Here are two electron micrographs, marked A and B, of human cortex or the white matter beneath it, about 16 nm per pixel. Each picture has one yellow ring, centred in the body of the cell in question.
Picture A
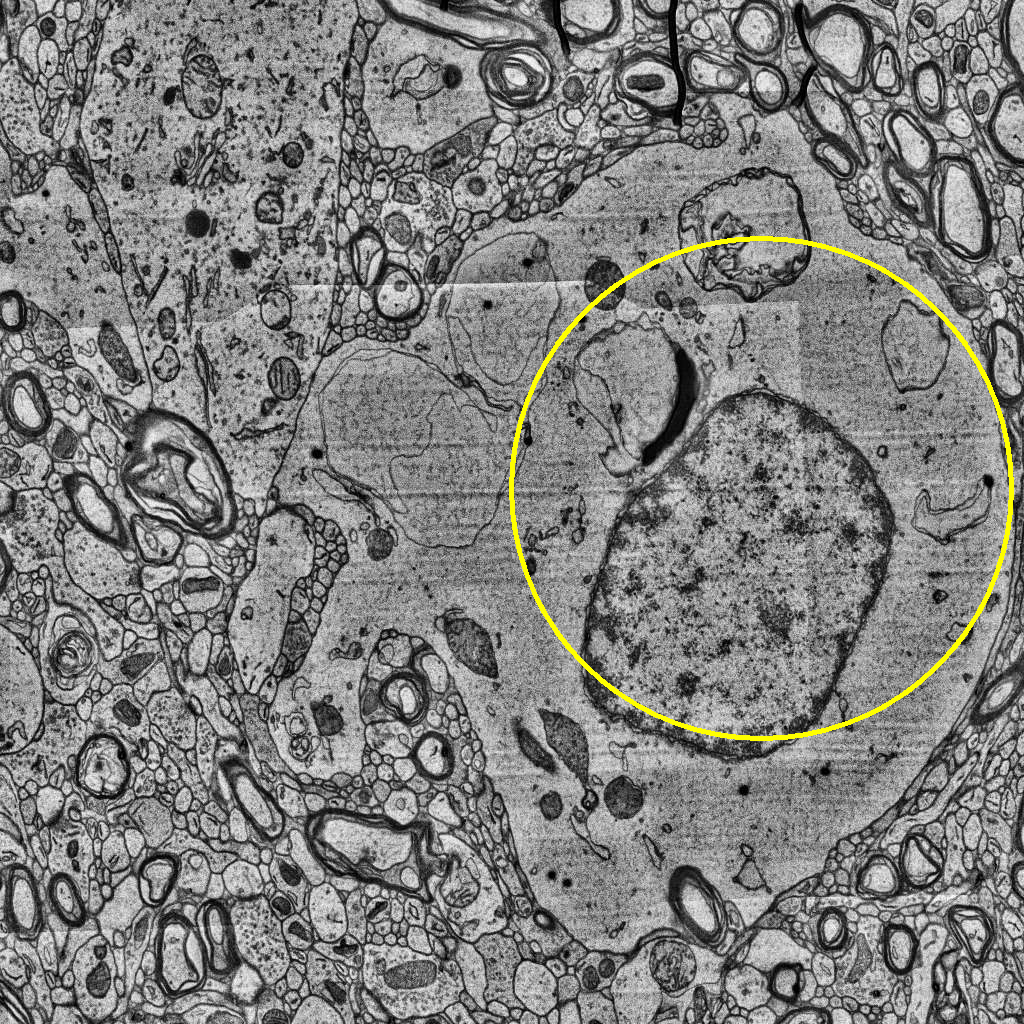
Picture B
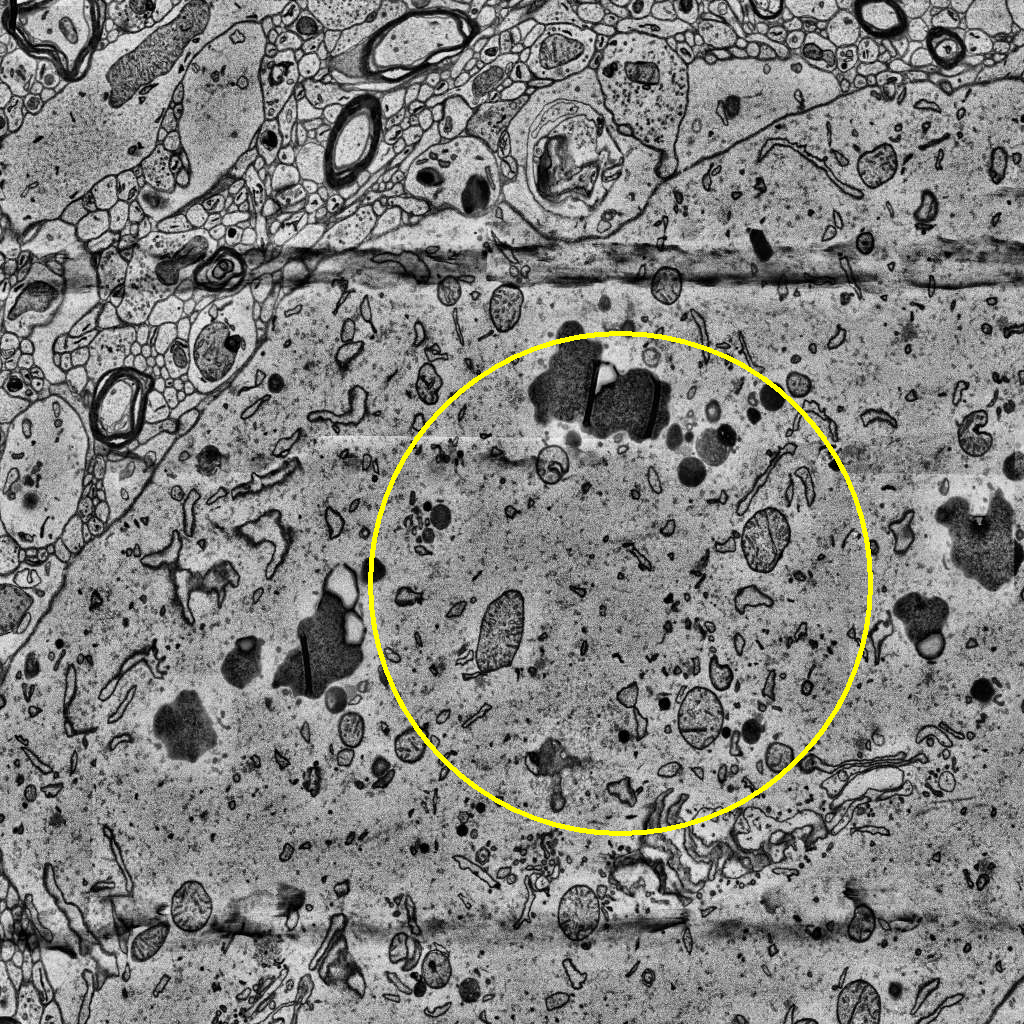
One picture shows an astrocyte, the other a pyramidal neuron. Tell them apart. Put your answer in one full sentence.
Picture B shows a pyramidal neuron, while picture A shows an astrocyte.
